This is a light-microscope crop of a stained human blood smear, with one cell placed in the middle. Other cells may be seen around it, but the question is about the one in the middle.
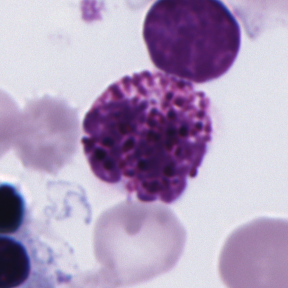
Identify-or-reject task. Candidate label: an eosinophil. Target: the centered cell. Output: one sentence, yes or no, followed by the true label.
No, mark the middle cell as a basophil, not an eosinophil.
